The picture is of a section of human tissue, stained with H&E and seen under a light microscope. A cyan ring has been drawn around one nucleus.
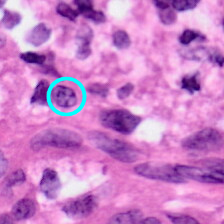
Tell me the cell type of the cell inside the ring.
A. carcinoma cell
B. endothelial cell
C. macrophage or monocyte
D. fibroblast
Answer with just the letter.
C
